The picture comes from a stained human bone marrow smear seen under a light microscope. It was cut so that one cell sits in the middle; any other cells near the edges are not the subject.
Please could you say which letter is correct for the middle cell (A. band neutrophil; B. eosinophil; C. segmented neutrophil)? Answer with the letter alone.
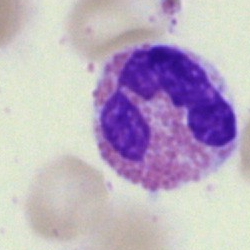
B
